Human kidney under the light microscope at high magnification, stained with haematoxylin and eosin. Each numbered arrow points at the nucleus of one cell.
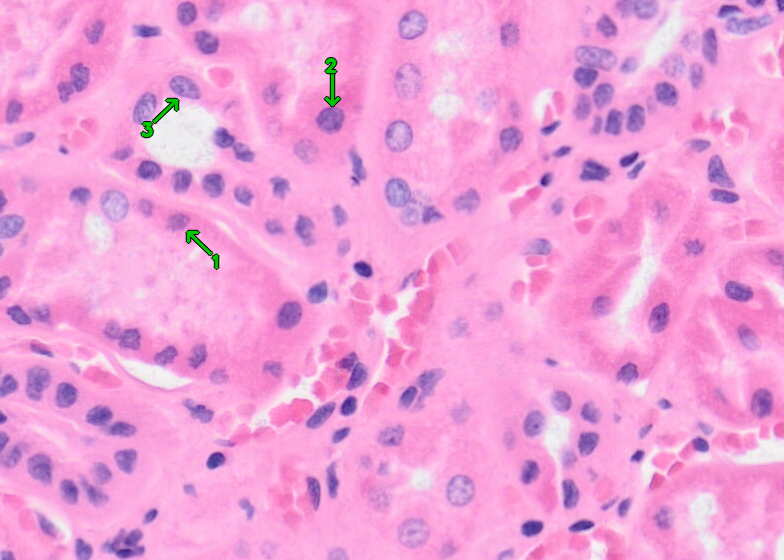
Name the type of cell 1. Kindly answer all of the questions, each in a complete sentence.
The correct answer for cell 1 is a proximal tubule cell.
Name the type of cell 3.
Cell number 3 in this section is a loop of Henle or distal tubule cell.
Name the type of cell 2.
In this section, the cell tagged 2 is a proximal tubule cell.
